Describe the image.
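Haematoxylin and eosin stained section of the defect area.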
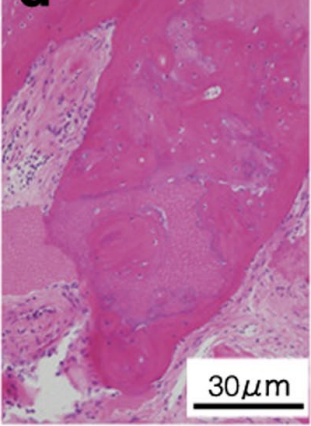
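Deep pink eosinophilic matrix forms a broad mass with scattered small lacunae holding flattened nuclei. Toward its lower left, a central fragment shows a finely dotted, evenly textured surface unlike the surrounding bone. On the left, loose fibrous connective tissue with many small dark spindle and round nuclei lies against the bone surface. No large inflammatory infiltrate is seen.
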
